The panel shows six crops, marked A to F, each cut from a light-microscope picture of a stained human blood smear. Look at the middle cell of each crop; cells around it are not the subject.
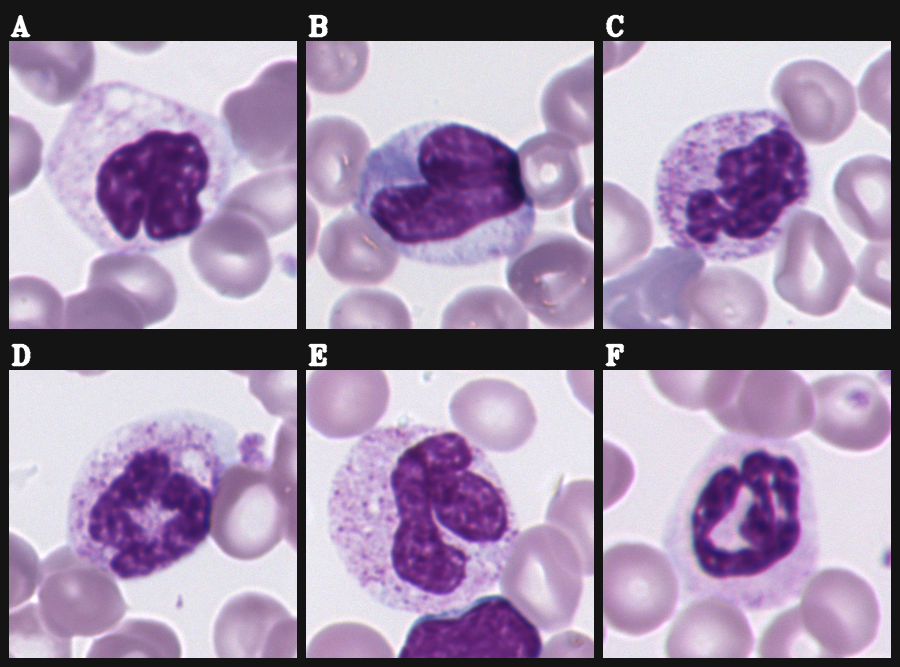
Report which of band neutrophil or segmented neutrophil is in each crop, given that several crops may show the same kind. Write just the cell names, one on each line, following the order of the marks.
band neutrophil
band neutrophil
segmented neutrophil
segmented neutrophil
segmented neutrophil
segmented neutrophil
